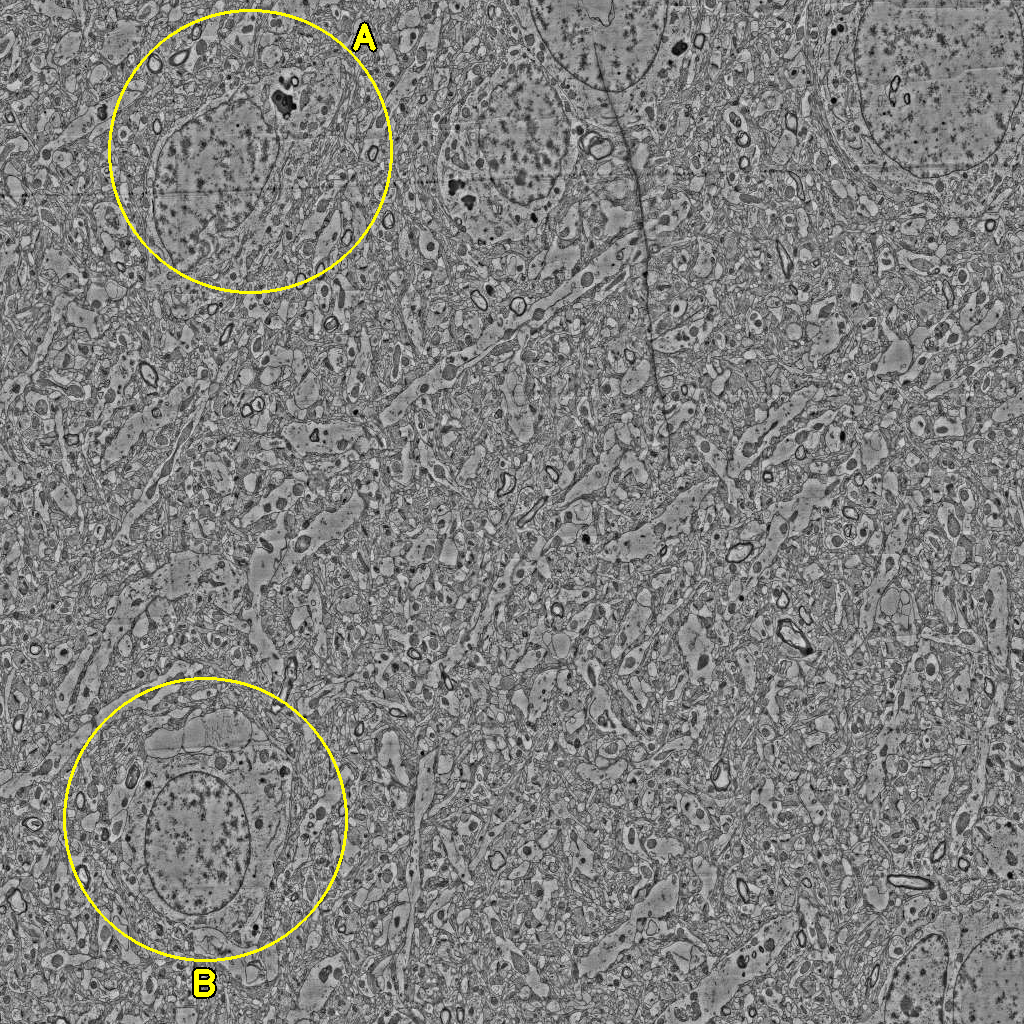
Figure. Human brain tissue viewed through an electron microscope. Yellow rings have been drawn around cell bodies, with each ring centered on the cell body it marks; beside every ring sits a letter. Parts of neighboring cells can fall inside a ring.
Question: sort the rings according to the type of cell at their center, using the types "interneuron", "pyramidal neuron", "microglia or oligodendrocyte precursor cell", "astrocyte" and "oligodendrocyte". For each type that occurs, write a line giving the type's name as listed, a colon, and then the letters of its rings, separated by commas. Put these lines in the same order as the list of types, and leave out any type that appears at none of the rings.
interneuron: A
pyramidal neuron: B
